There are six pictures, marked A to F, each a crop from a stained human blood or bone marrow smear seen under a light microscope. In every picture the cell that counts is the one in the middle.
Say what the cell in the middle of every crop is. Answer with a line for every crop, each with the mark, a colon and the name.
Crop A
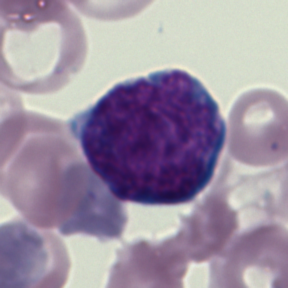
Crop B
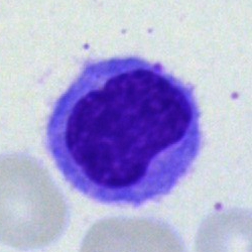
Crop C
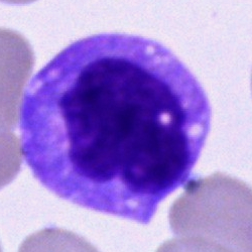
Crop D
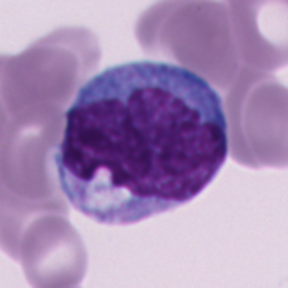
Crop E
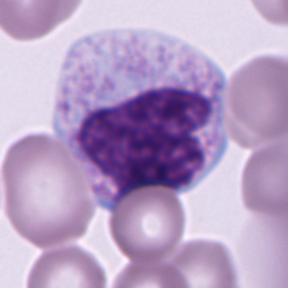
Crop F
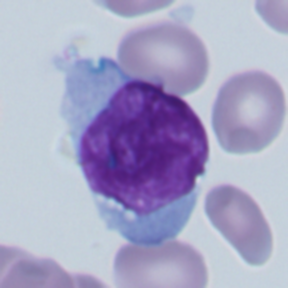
A: blast
B: monocyte
C: monocyte
D: monocyte
E: band neutrophil
F: blast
